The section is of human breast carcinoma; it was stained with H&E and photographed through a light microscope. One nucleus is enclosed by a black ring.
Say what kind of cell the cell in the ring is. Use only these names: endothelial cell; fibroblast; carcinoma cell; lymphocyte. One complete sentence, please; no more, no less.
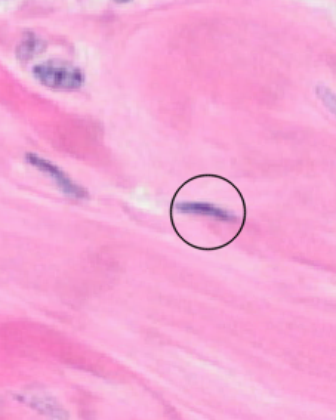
The cell type of the cell in the ring is that of a fibroblast.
